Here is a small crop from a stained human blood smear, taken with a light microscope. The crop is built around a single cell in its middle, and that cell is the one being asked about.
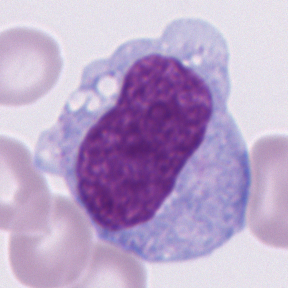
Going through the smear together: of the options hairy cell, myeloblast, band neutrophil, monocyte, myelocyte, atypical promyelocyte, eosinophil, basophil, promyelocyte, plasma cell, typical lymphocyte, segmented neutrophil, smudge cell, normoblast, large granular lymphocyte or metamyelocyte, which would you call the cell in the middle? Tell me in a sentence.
The cell at the middle of the frame should be recorded as a monocyte.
